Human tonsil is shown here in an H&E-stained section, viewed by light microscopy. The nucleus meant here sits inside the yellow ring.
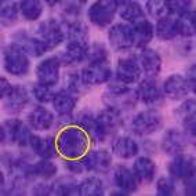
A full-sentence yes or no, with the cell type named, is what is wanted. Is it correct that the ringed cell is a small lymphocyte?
Yes, a small lymphocyte is what the ringed cell is in this section.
